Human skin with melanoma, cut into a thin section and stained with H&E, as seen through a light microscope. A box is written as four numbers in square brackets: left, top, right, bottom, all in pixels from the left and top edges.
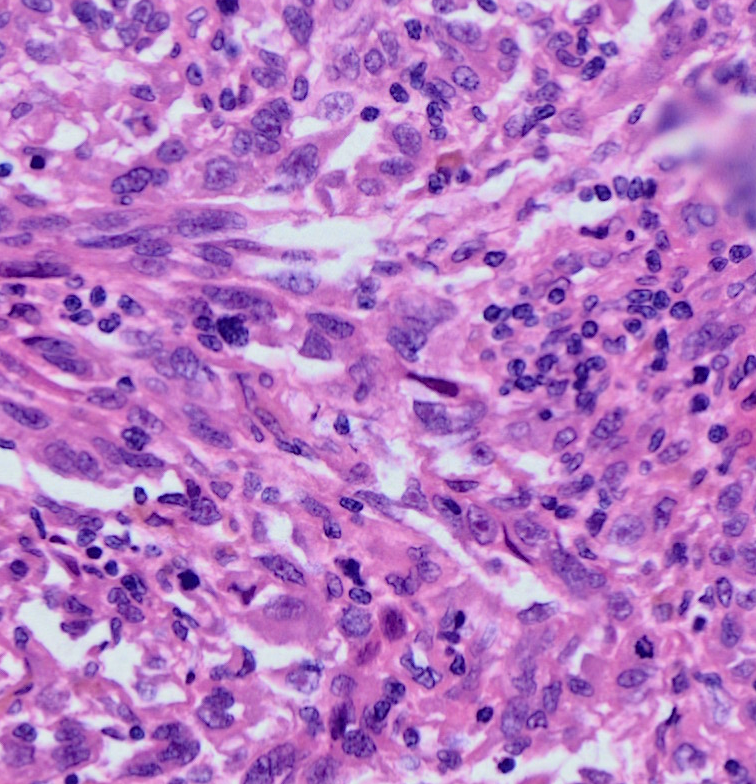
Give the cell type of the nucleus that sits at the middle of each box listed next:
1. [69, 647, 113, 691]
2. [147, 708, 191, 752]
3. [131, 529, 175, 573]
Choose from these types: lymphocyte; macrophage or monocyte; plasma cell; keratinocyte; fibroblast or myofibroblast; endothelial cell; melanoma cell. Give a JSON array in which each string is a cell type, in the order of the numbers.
["macrophage or monocyte", "melanoma cell", "lymphocyte"]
